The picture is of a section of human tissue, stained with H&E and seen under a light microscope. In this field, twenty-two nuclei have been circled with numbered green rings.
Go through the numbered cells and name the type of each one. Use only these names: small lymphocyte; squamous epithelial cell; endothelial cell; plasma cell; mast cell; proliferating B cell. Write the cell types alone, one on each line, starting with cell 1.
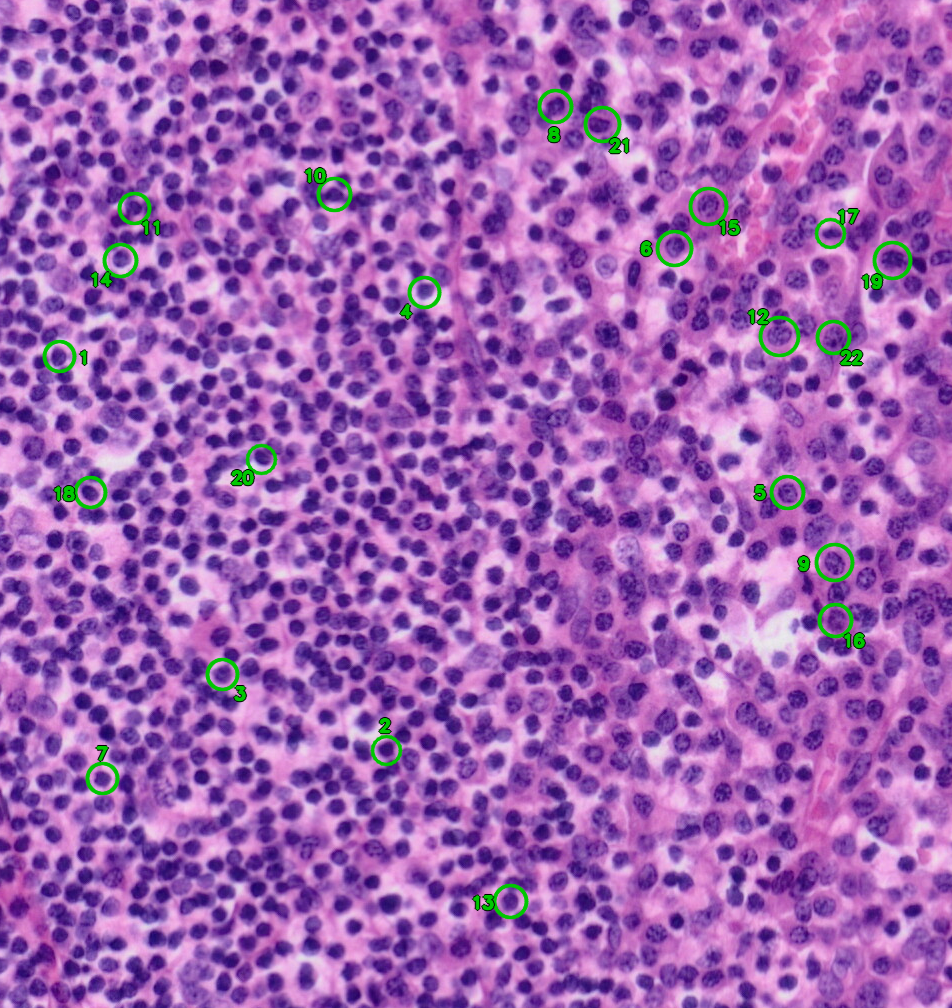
small lymphocyte
small lymphocyte
small lymphocyte
small lymphocyte
plasma cell
plasma cell
small lymphocyte
plasma cell
plasma cell
small lymphocyte
small lymphocyte
plasma cell
small lymphocyte
small lymphocyte
plasma cell
plasma cell
plasma cell
small lymphocyte
plasma cell
small lymphocyte
plasma cell
plasma cell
